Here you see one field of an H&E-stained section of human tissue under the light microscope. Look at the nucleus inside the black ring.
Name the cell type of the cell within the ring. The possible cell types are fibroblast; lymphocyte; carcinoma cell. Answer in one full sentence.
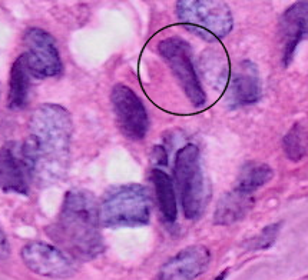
In the tissue under study, the cell within the ring is a carcinoma cell.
